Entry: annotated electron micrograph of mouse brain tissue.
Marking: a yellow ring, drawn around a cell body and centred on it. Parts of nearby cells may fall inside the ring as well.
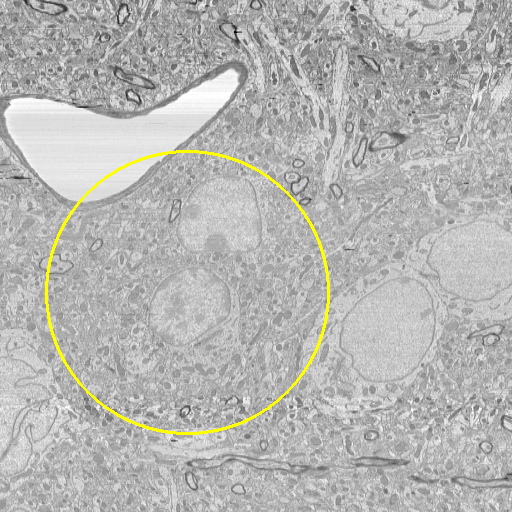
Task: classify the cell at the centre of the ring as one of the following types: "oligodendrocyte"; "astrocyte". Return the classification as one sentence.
The marked cell is classified as an oligodendrocyte.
